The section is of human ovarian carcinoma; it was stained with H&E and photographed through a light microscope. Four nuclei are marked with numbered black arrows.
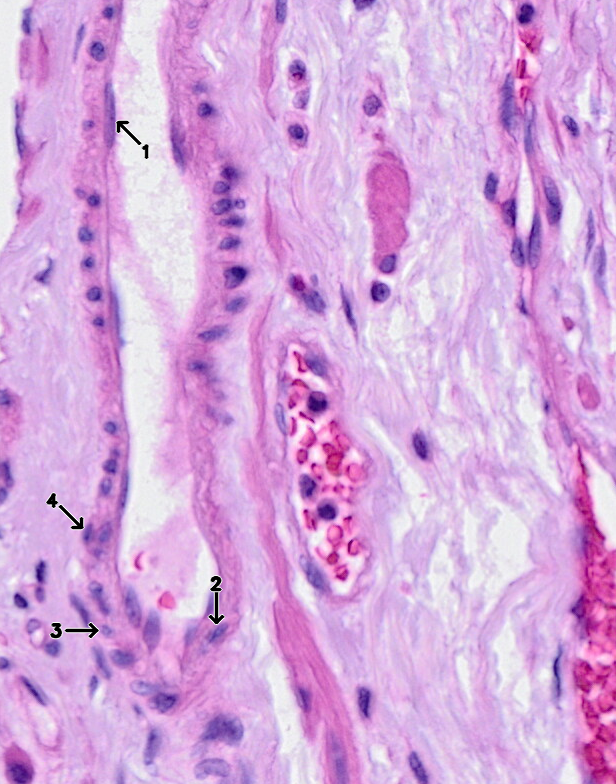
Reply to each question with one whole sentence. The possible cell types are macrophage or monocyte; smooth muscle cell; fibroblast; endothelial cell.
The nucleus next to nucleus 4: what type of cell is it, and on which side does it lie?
A smooth muscle cell lies closest, to the right of nucleus 4.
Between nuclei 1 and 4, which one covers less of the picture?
Nucleus 4 covers less area, with nucleus 1 about 4 times as large.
